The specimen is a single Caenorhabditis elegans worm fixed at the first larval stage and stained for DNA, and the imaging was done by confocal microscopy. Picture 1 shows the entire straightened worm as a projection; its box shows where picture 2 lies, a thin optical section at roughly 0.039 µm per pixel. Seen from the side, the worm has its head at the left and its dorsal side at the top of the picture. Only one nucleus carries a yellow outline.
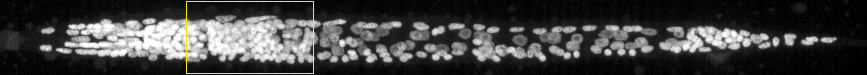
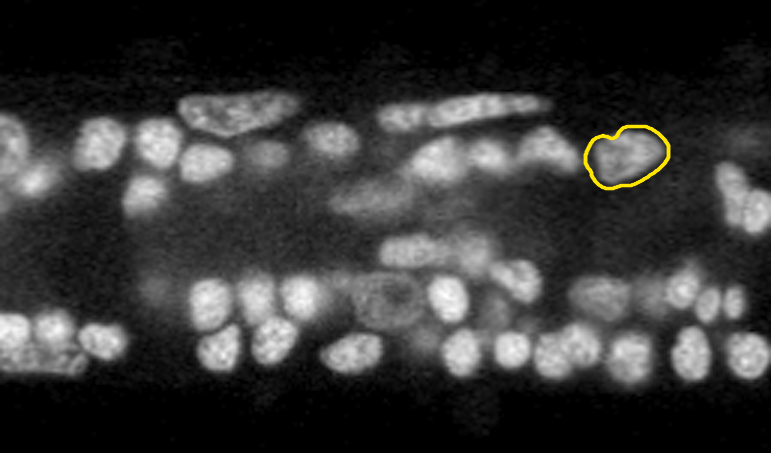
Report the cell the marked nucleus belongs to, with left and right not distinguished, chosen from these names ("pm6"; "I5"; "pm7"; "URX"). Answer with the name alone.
pm7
